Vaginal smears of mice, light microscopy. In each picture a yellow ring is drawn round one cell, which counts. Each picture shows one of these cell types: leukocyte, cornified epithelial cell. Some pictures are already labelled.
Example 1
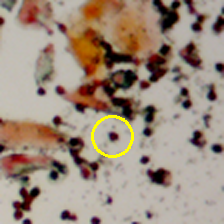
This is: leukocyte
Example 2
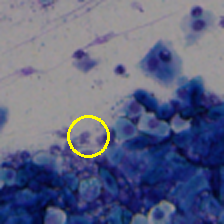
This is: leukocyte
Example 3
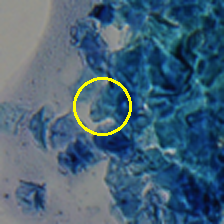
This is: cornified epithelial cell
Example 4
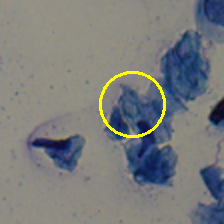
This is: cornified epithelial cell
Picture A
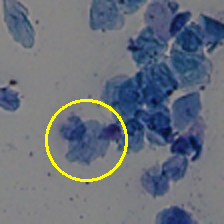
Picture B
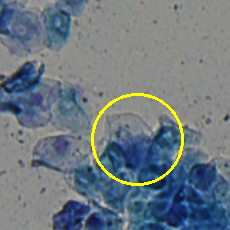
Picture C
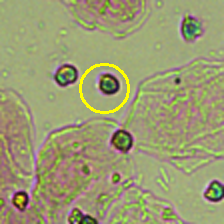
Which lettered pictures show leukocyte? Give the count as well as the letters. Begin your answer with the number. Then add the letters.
1: C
